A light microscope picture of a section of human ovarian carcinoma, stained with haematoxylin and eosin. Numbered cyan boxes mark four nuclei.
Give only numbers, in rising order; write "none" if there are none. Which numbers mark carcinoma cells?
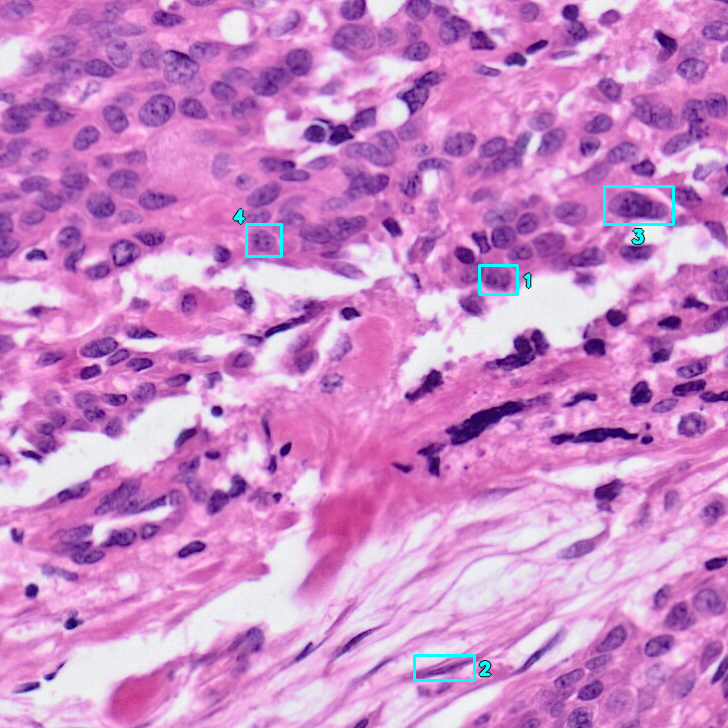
1, 3, 4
